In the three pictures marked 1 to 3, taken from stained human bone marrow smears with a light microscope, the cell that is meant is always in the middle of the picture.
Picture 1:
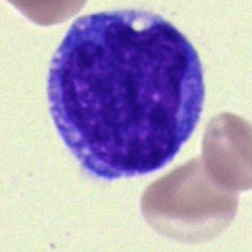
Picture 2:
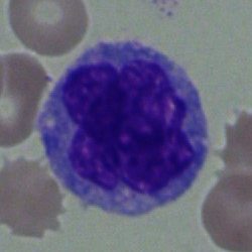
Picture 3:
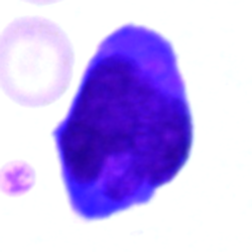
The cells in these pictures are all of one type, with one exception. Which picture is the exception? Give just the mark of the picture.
3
